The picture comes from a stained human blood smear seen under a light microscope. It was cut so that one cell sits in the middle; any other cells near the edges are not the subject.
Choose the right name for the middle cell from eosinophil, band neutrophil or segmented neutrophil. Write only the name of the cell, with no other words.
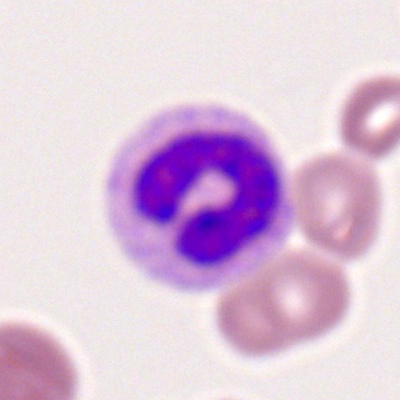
band neutrophil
